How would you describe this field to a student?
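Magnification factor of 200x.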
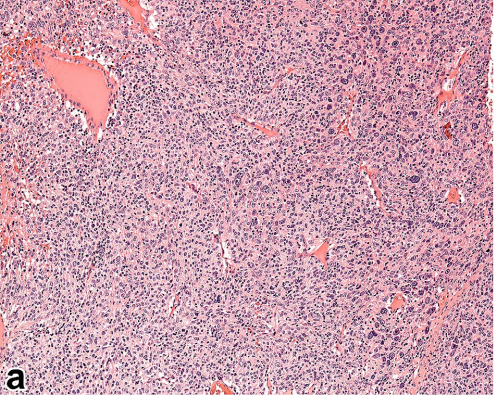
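At lower power, the tumor forms broad, densely cellular sheets of neoplastic cells with pink cytoplasm and indistinct cell borders. Numerous small dark lymphocytes are sprinkled throughout the sheets. Scattered vessels with pink contents interrupt the sheets, and occasional cells with large, dark, irregular nuclei stand out from the rest.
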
